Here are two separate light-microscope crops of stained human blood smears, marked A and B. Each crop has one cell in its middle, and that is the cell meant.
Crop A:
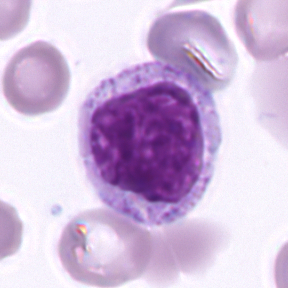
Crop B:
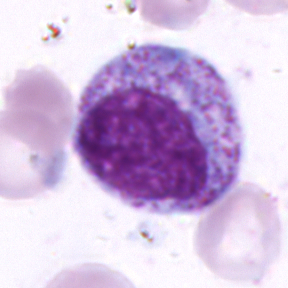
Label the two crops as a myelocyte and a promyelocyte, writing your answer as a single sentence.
In this set, crop A is a myelocyte and crop B is a promyelocyte.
